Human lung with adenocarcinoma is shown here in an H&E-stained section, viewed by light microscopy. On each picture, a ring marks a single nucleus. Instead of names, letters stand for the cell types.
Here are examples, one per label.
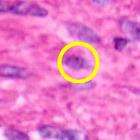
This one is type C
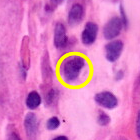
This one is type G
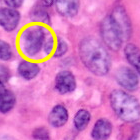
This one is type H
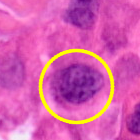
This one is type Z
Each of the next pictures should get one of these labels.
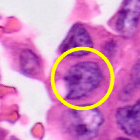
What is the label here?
type Z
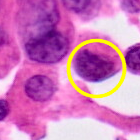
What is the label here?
type Z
